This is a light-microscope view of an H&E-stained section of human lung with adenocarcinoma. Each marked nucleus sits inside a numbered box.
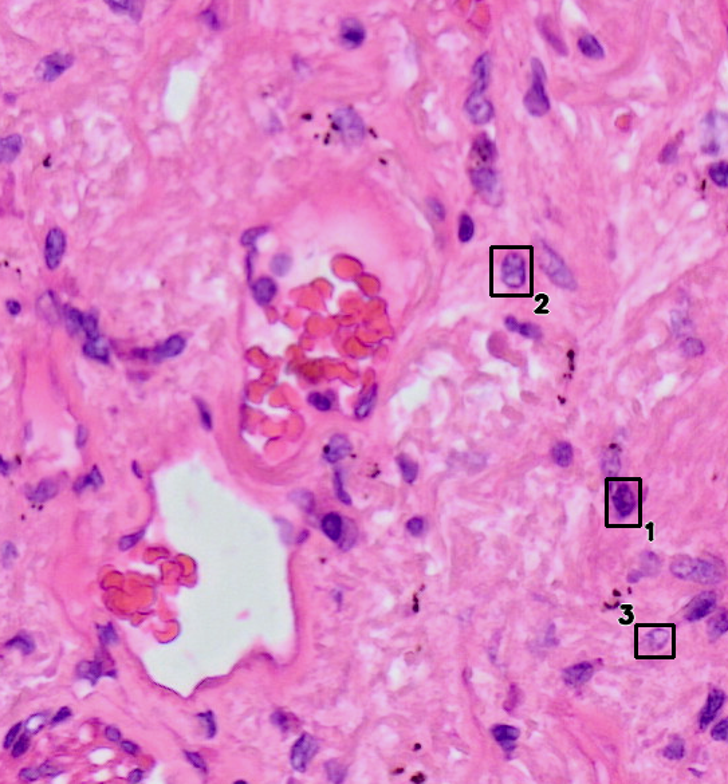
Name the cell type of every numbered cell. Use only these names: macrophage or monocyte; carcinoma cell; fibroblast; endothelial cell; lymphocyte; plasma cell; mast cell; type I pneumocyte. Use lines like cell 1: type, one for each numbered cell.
cell 1: plasma cell
cell 2: mast cell
cell 3: fibroblast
